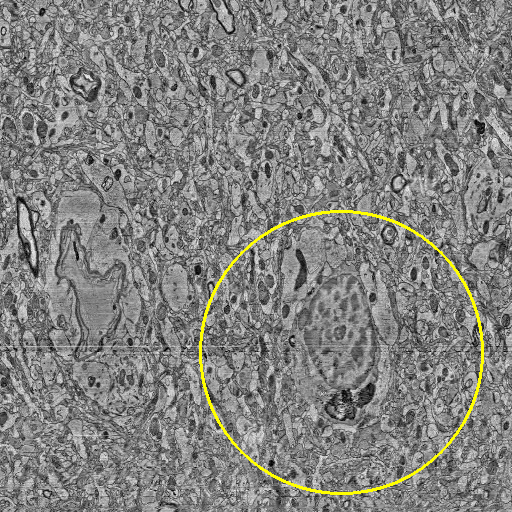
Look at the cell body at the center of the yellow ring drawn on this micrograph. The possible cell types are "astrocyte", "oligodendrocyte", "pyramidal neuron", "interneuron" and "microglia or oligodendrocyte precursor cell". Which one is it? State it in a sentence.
The cell in the middle of the ring is an oligodendrocyte.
